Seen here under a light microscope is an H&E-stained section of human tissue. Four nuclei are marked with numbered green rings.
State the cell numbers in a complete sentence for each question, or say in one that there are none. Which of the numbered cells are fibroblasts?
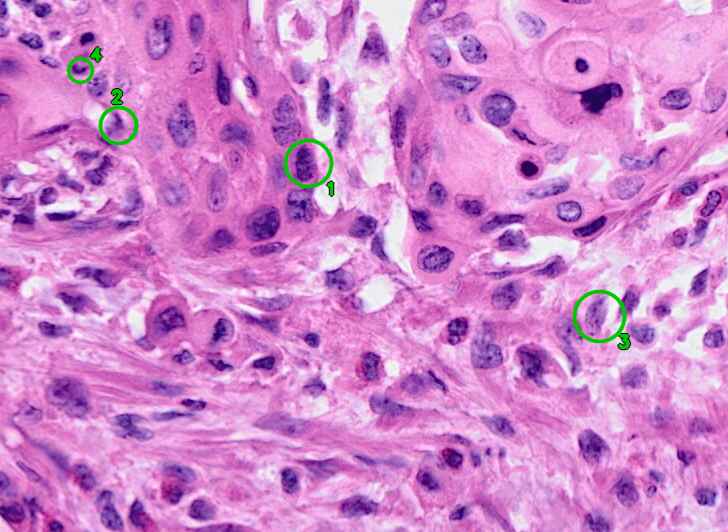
Only nucleus 3 belongs to a fibroblast; the other numbered nuclei do not.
